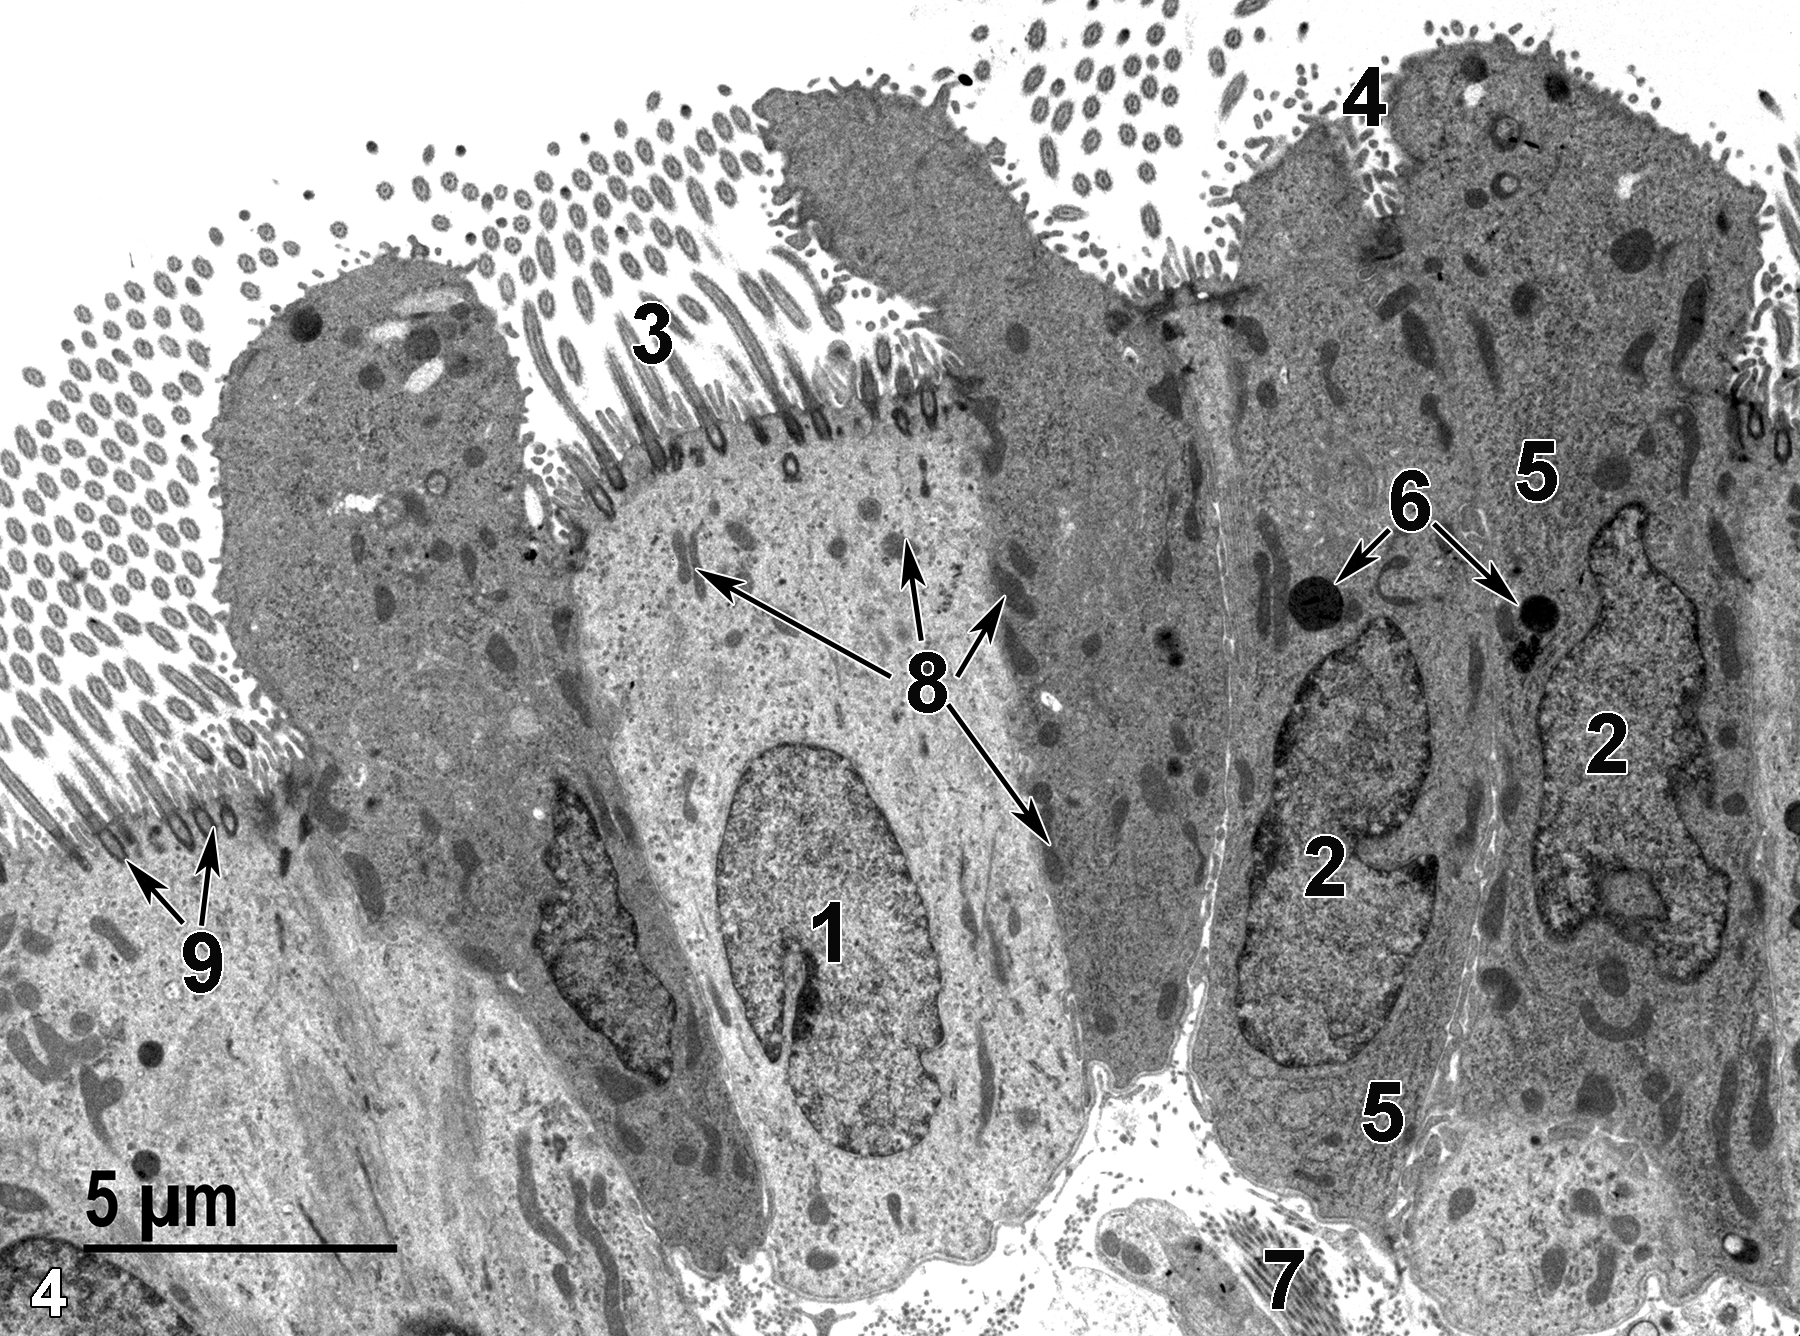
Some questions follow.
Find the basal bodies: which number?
It's 9.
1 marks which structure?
At 1: nuclei of a ciliated cell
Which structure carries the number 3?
At 3: cilia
